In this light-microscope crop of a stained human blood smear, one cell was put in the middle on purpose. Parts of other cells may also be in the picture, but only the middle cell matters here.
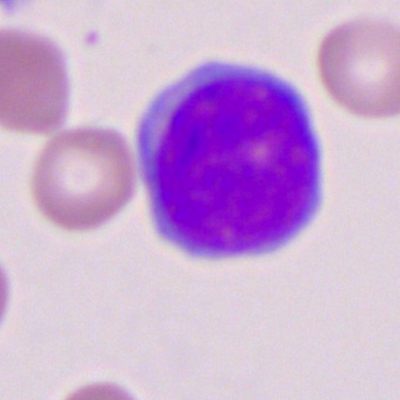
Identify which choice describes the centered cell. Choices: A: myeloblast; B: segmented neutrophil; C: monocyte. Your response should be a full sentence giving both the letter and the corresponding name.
Since the cell in the centre is a myeloblast, the correct option is A.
